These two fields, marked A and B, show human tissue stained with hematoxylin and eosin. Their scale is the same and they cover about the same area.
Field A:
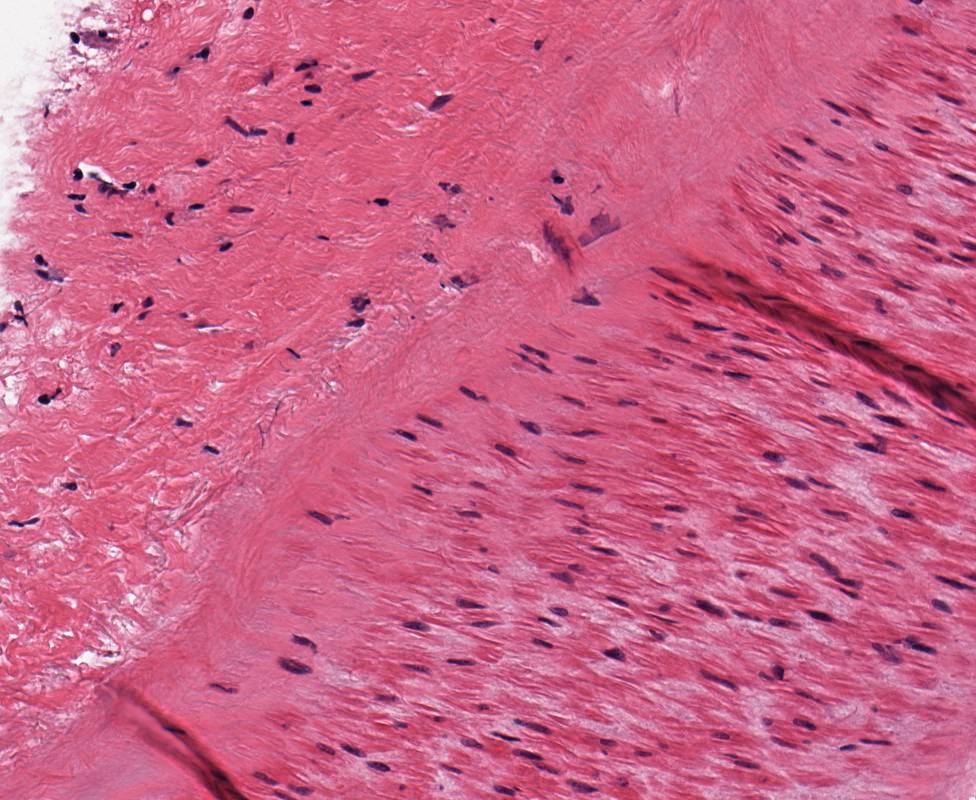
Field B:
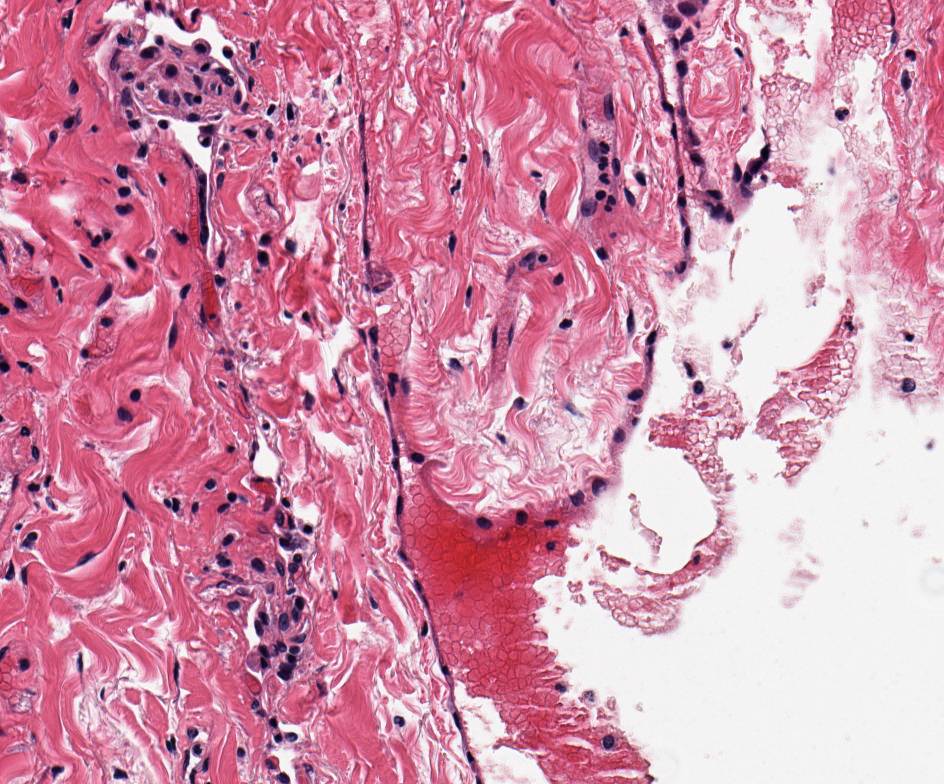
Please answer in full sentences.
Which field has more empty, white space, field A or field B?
More of field B is empty and white.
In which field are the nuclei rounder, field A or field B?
Rounder nuclei lie in field B.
